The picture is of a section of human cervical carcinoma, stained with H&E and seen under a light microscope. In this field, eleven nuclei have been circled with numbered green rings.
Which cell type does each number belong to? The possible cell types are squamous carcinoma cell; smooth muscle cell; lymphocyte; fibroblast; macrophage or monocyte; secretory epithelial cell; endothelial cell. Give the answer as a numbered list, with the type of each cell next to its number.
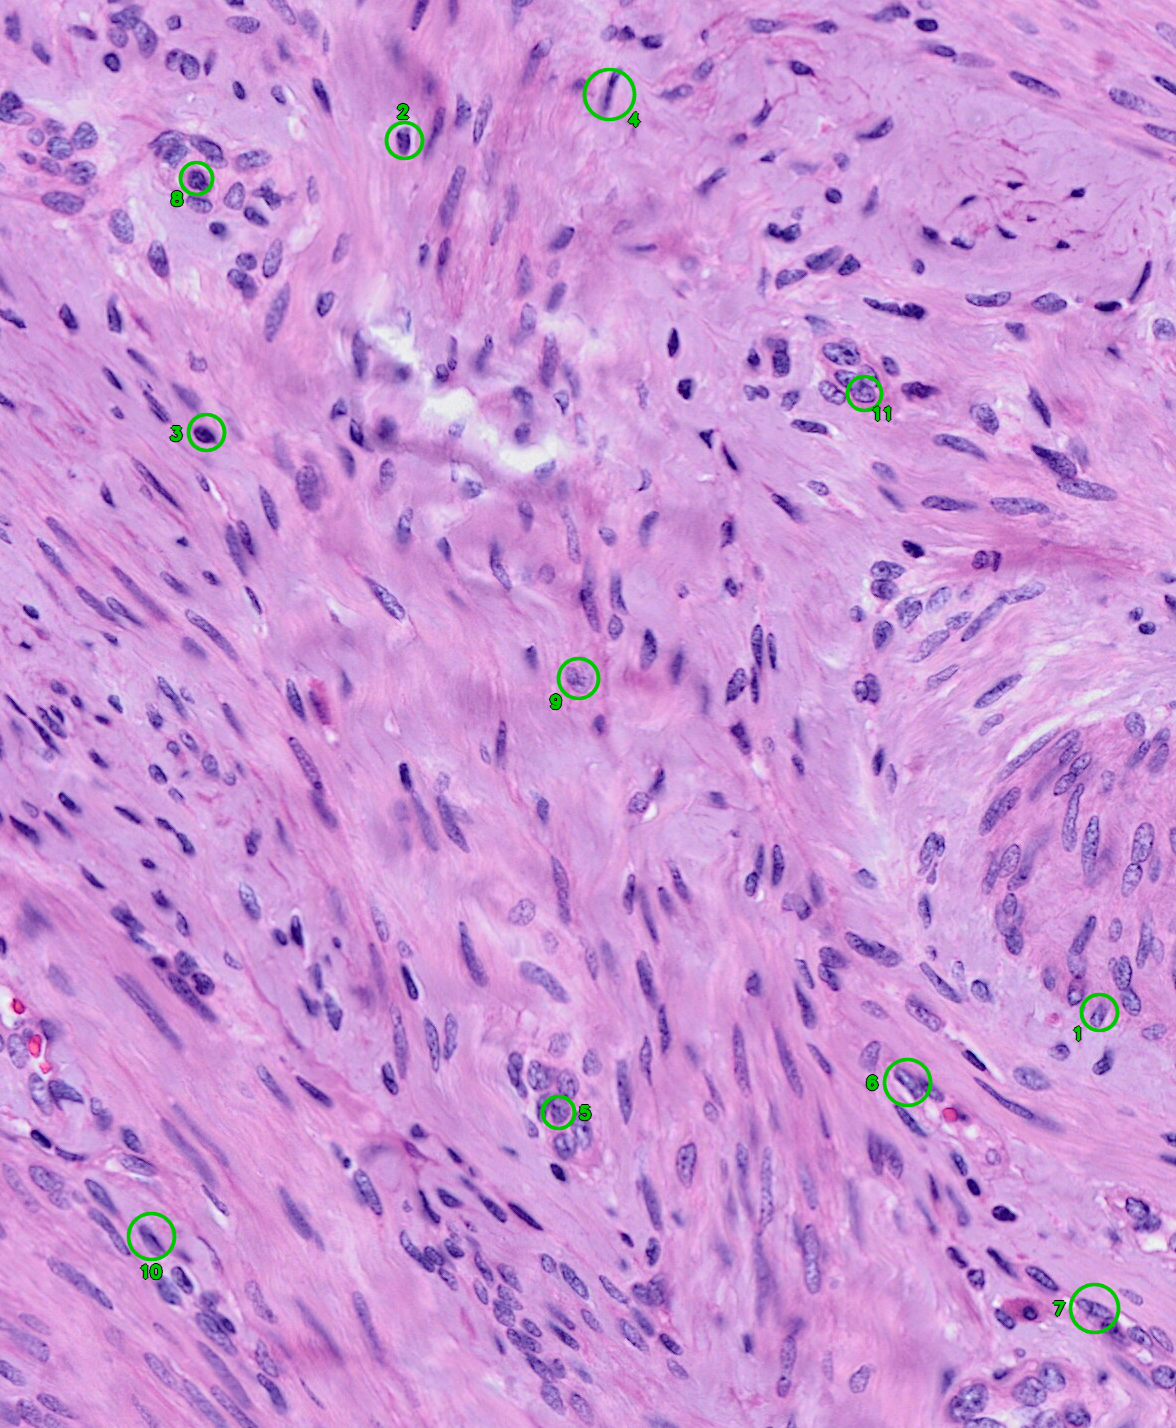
1. smooth muscle cell
2. lymphocyte
3. lymphocyte
4. fibroblast
5. endothelial cell
6. endothelial cell
7. endothelial cell
8. endothelial cell
9. smooth muscle cell
10. fibroblast
11. endothelial cell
